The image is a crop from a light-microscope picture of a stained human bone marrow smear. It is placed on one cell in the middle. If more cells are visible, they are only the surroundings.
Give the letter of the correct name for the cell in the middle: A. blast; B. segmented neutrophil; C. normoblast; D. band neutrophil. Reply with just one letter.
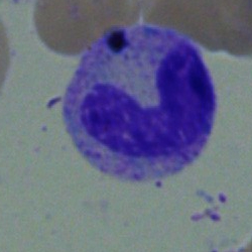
D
